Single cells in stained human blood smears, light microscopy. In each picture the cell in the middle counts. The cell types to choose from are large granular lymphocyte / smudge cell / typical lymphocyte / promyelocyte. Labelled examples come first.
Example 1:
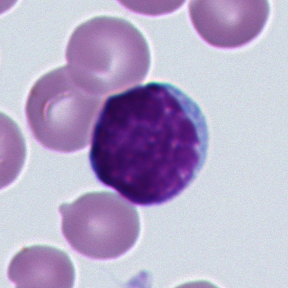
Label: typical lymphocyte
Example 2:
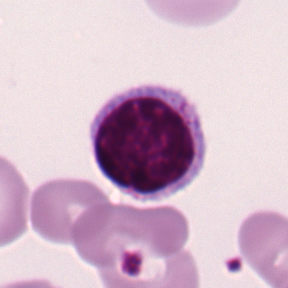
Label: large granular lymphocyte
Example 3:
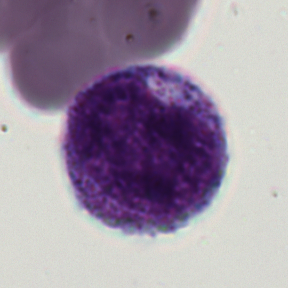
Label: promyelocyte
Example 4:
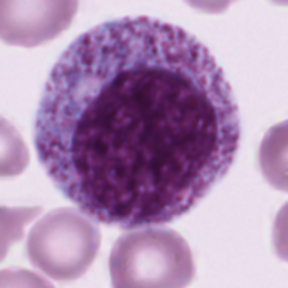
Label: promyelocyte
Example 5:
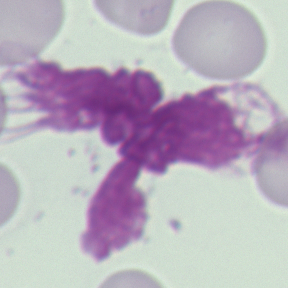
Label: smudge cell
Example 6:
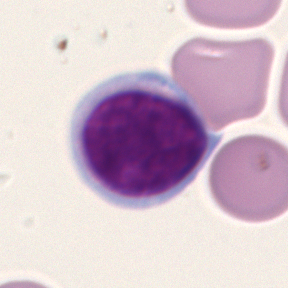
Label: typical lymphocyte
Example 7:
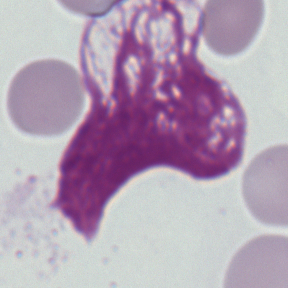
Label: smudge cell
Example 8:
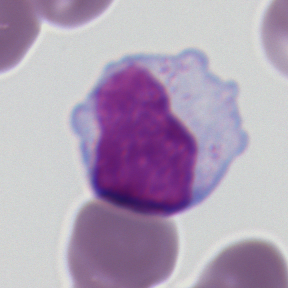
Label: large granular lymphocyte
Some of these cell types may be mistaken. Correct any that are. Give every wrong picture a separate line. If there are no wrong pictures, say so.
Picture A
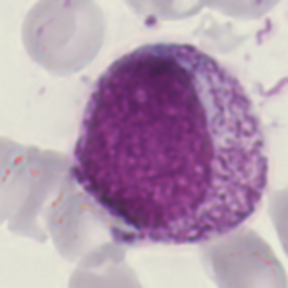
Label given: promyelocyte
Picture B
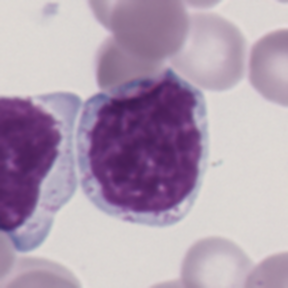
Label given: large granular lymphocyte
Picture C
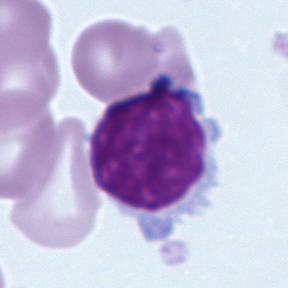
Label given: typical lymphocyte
Nothing to fix; every label fits.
